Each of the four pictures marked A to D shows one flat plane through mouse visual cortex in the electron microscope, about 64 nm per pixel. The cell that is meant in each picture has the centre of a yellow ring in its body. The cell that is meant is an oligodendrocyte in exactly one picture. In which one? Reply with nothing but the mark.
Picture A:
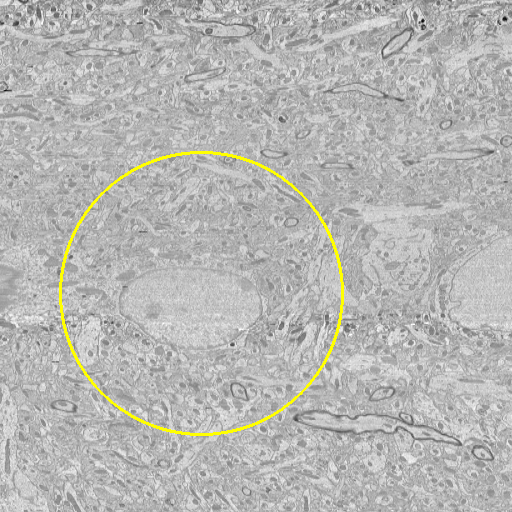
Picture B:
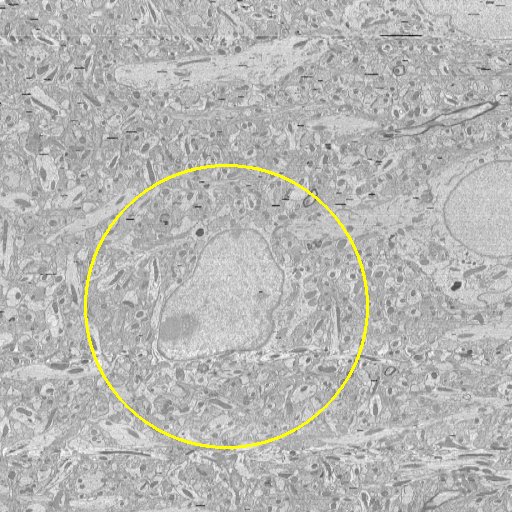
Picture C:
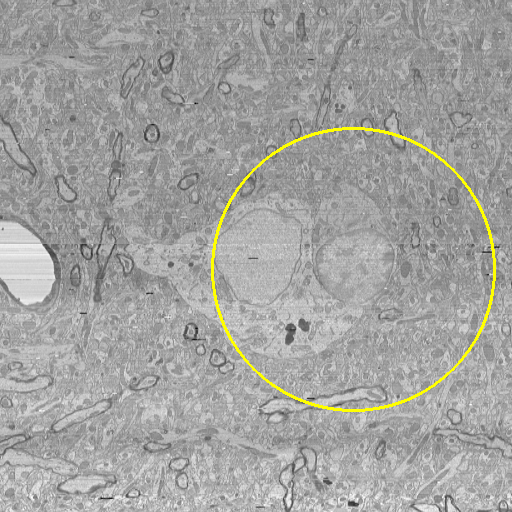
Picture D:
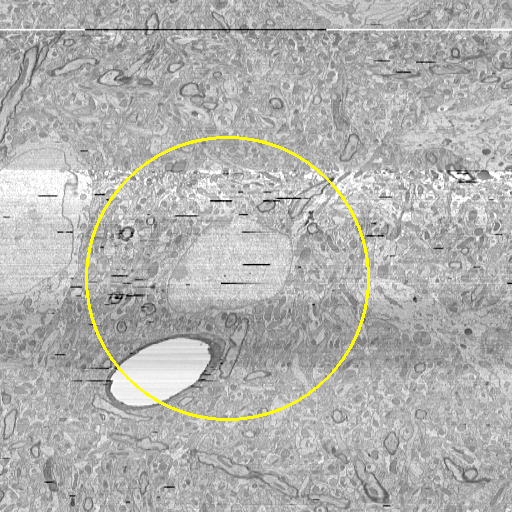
C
